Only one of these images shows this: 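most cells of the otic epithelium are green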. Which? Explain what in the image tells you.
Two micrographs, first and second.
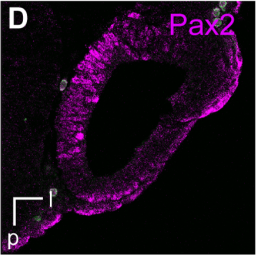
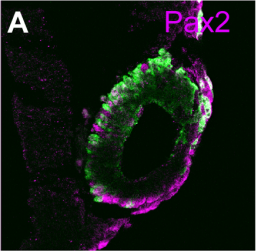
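First image: the epithelial ring is magenta with almost no green cells. Second image: green fills much of the epithelial ring around the lumen.
The second image.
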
